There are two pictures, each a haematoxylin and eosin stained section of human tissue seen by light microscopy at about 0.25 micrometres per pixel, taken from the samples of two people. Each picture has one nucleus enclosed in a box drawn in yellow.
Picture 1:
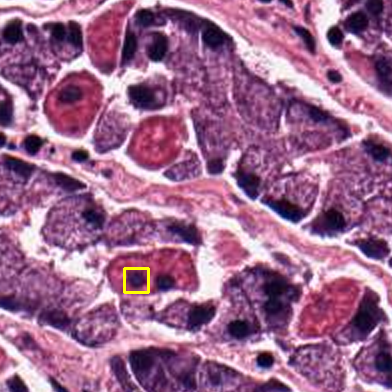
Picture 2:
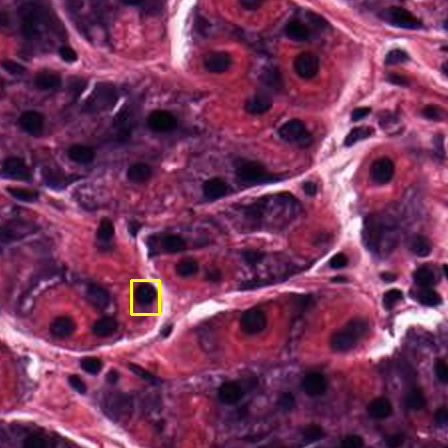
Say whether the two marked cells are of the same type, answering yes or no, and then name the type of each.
Yes, both are parietal cells.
